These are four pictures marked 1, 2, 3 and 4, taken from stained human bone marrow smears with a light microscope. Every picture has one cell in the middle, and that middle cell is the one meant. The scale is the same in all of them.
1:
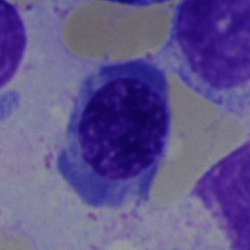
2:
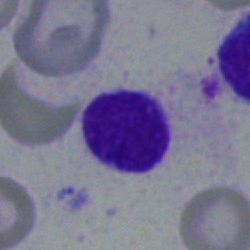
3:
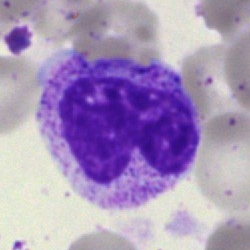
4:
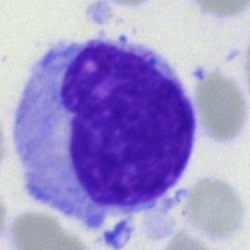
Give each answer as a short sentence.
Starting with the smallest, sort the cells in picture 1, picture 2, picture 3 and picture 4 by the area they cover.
From the smallest up, the order is 2, 1, 3, 4.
